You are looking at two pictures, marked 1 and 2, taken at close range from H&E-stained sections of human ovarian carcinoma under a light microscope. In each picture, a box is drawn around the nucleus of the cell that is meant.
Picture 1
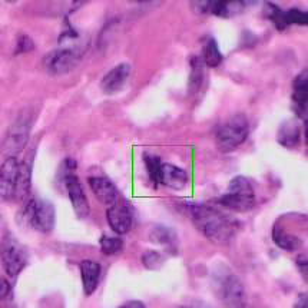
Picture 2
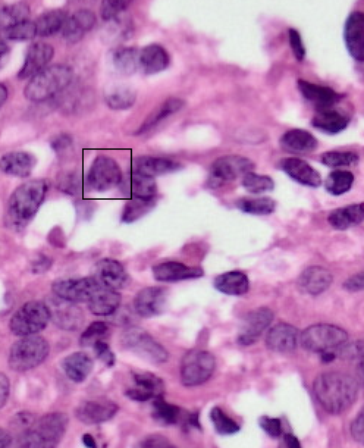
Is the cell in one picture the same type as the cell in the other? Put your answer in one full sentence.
No. Picture 1 shows a “macrophage or monocyte”, but picture 2 shows a carcinoma cell.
